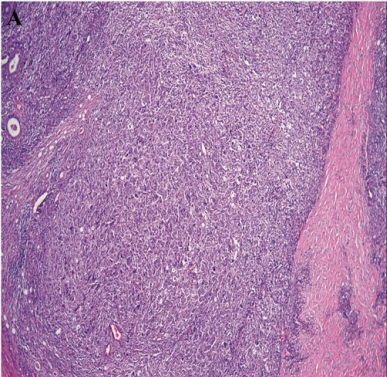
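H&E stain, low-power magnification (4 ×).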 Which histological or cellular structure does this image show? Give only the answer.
Rare unremarkable glands.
